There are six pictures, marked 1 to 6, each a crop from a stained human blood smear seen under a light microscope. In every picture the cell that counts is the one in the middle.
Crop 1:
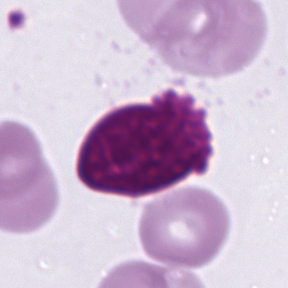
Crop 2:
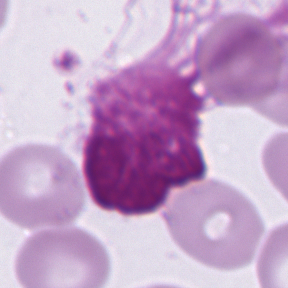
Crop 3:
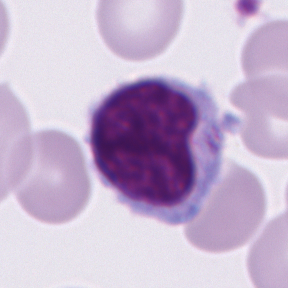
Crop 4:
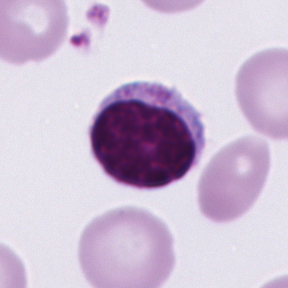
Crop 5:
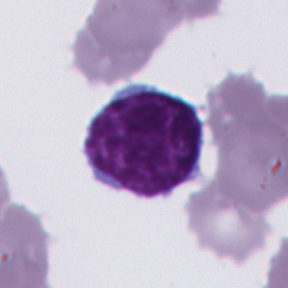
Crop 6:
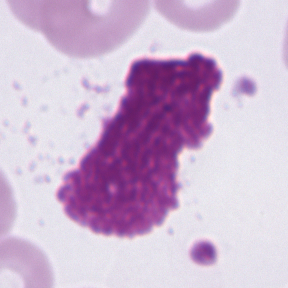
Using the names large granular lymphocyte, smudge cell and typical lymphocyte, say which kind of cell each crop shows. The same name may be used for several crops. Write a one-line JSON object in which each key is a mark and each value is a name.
{"1": "smudge cell", "2": "smudge cell", "3": "large granular lymphocyte", "4": "large granular lymphocyte", "5": "typical lymphocyte", "6": "smudge cell"}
